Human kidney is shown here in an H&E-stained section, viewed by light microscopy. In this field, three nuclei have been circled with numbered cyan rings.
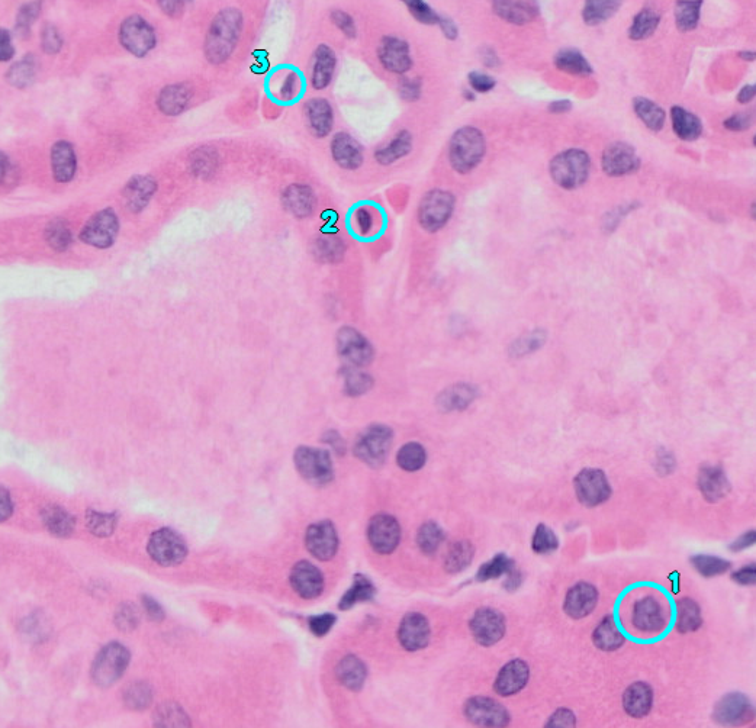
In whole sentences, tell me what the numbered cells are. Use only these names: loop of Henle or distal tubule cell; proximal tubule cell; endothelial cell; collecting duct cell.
Cell 1 is a proximal tubule cell. Cells 2 and 3 are endothelial cells.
